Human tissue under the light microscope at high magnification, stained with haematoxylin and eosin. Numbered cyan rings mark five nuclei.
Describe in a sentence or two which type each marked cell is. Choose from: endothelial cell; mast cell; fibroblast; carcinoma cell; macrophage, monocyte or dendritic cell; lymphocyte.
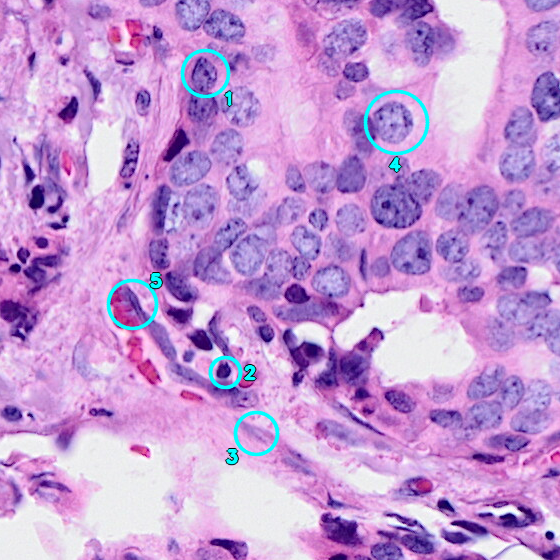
Cells 1 and 4 are carcinoma cells. Cell 2 is a lymphocyte. Cell 3 is a fibroblast. Cell 5 is an endothelial cell.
